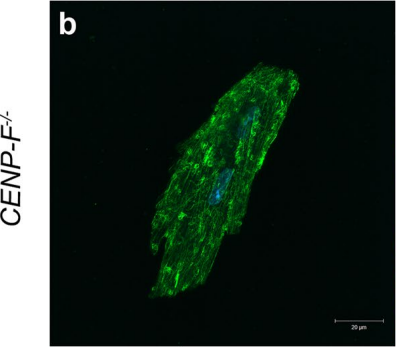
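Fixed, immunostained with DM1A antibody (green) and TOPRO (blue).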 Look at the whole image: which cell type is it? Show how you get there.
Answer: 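Two blue nuclei in the center. Green filaments fill the cytoplasm along the long axis. So: Cardiomyocytes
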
